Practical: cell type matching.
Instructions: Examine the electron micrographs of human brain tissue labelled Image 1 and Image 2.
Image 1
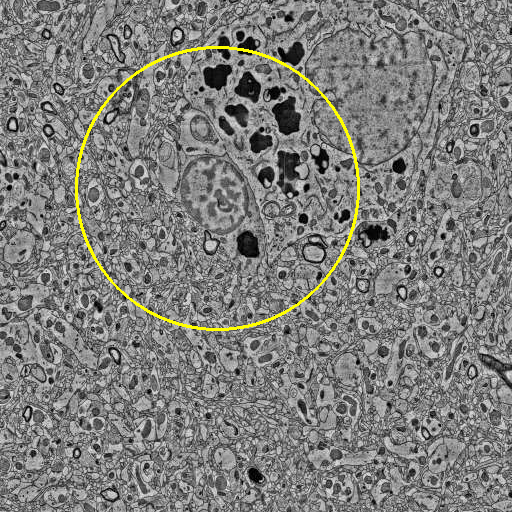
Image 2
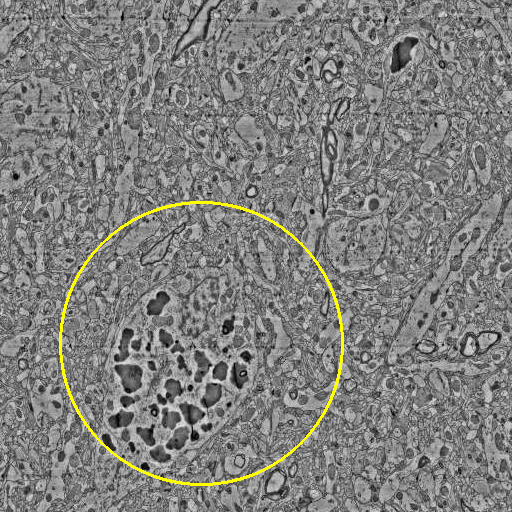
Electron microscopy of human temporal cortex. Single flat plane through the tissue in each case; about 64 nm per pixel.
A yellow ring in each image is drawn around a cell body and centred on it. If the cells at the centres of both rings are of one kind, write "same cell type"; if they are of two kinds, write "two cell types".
two cell types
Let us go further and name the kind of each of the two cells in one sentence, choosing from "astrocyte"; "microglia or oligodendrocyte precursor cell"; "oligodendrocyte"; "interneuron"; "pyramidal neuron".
The ring of the first picture is on an oligodendrocyte, the ring of the second on an interneuron.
